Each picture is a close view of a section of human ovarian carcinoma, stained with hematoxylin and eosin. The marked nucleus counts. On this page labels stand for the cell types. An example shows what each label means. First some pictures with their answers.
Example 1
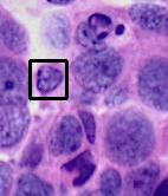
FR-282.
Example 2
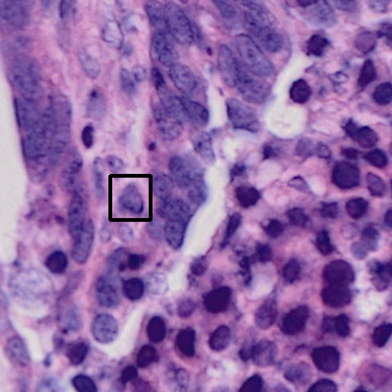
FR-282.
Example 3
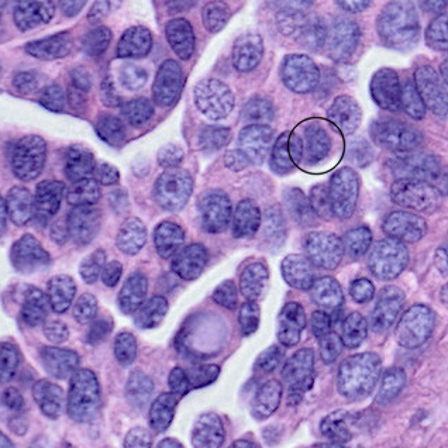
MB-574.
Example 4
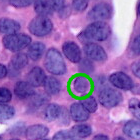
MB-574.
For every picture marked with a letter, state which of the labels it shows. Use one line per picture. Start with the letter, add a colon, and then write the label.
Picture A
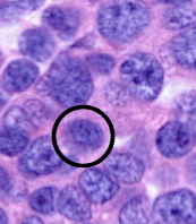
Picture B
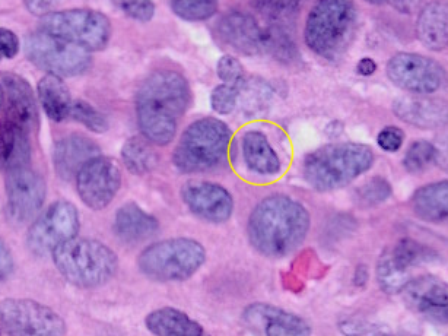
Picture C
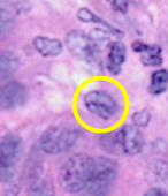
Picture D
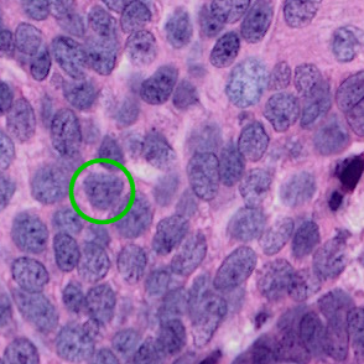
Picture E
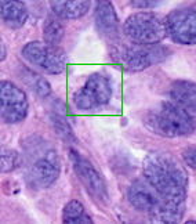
A: MB-574.
B: FR-282.
C: FR-282.
D: MB-574.
E: FR-282.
